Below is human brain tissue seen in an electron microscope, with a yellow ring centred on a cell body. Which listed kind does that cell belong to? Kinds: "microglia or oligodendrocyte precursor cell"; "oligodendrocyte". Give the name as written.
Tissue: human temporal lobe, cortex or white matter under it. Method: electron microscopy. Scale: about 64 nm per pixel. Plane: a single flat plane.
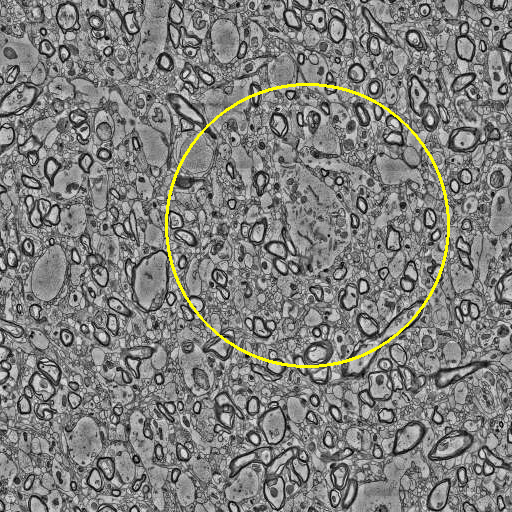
microglia or oligodendrocyte precursor cell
